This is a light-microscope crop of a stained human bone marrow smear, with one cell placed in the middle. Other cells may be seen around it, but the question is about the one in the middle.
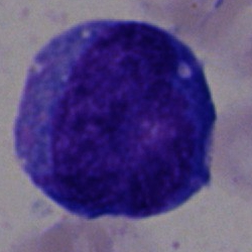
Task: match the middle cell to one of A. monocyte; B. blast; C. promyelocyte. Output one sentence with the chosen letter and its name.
Correctly, option B names the cell in the middle a blast.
